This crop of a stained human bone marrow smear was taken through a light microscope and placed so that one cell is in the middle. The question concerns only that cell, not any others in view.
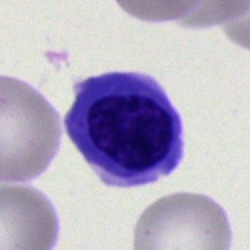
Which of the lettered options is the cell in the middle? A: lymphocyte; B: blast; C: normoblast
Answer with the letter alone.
C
